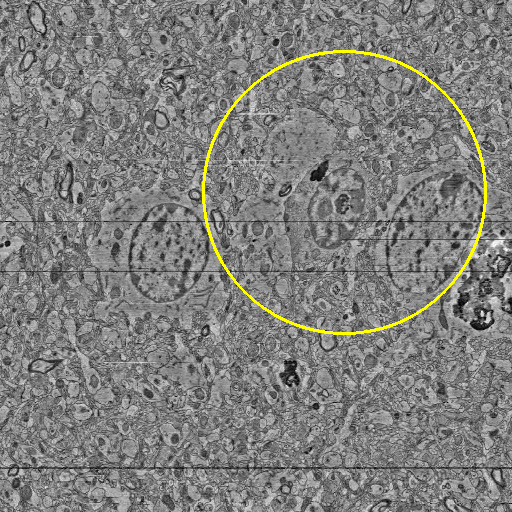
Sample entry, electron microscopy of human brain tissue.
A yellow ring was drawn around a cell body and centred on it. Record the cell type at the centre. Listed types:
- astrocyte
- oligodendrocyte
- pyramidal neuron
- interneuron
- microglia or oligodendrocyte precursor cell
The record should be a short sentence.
The cell at the ring's centre is an oligodendrocyte.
